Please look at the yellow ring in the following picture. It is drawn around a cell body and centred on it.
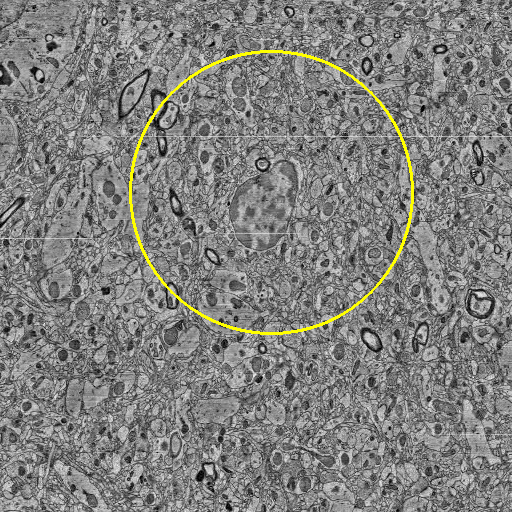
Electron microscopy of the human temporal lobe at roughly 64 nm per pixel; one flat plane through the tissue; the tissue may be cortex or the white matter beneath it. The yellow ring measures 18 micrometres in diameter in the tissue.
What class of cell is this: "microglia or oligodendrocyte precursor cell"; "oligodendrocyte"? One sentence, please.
The ring surrounds the cell body of a microglial cell or oligodendrocyte precursor cell.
